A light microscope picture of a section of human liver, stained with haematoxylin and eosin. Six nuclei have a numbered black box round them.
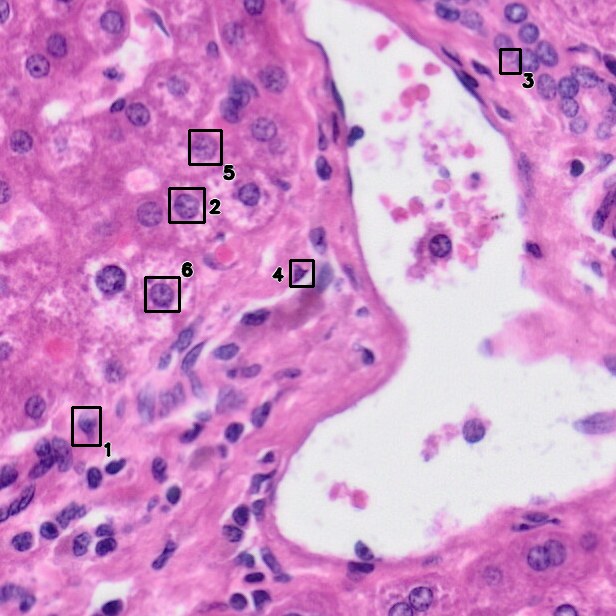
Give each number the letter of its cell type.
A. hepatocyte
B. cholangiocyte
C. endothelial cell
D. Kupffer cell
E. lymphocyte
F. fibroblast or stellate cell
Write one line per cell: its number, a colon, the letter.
1: F
2: A
3: B
4: F
5: A
6: A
